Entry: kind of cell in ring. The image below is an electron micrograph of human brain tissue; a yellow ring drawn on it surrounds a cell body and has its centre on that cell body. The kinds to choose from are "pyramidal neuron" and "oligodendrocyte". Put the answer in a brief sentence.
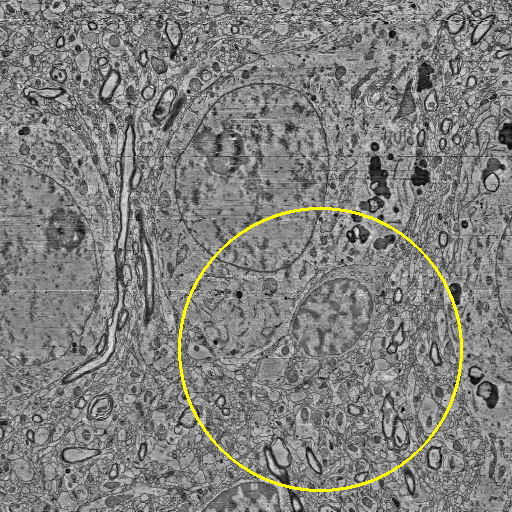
The ring has been drawn around an oligodendrocyte.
